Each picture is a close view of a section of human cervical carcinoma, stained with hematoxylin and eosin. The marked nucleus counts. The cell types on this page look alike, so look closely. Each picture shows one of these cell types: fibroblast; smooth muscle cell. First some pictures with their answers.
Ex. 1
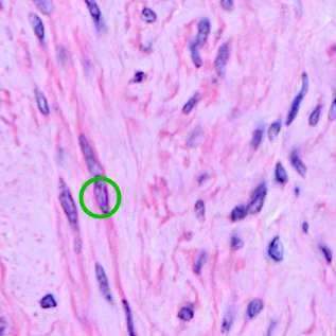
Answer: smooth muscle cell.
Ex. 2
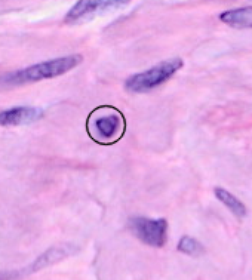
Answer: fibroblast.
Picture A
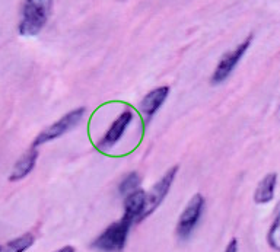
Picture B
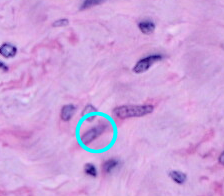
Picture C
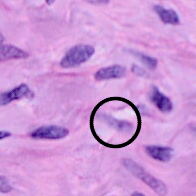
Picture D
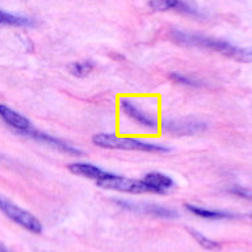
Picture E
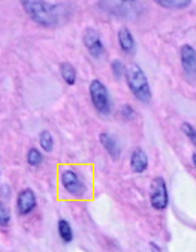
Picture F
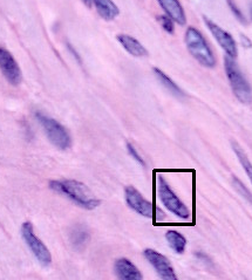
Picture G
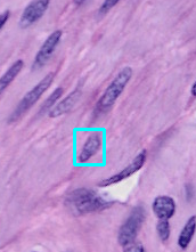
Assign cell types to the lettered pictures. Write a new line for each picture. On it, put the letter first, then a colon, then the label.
A: fibroblast.
B: smooth muscle cell.
C: fibroblast.
D: smooth muscle cell.
E: smooth muscle cell.
F: fibroblast.
G: smooth muscle cell.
